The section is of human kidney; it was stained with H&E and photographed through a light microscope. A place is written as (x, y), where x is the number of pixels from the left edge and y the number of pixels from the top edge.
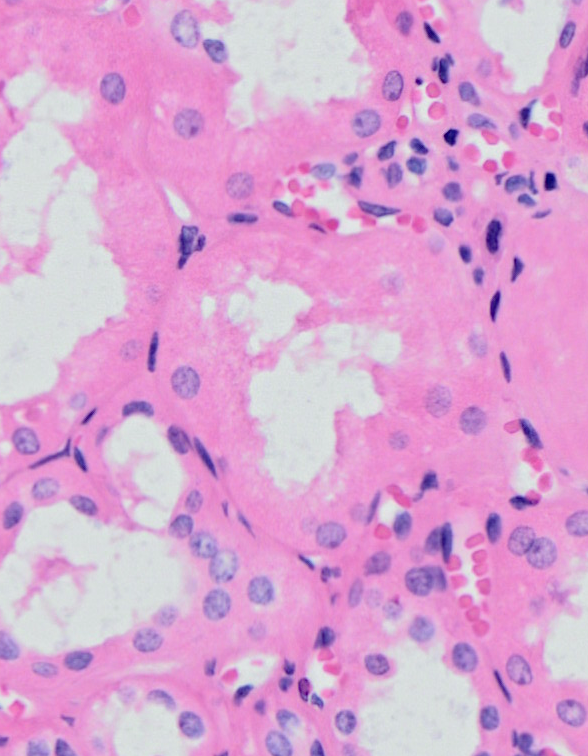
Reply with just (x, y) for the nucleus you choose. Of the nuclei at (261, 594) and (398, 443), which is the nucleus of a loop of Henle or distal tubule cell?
(261, 594)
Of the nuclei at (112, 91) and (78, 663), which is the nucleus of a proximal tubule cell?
(112, 91)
